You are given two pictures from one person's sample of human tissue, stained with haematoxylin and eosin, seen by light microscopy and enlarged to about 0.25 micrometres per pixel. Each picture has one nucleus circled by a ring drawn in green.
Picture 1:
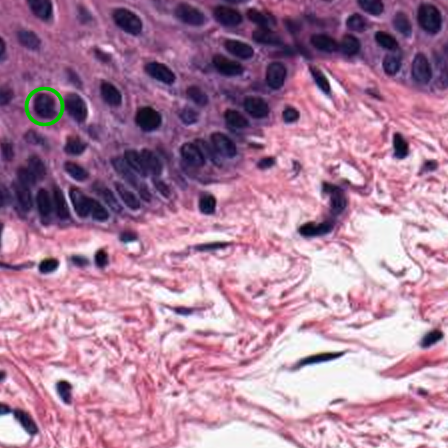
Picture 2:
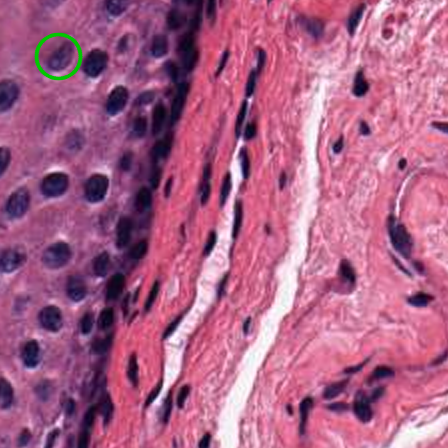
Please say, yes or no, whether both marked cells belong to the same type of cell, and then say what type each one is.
Yes, both are squamous epithelial cells.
